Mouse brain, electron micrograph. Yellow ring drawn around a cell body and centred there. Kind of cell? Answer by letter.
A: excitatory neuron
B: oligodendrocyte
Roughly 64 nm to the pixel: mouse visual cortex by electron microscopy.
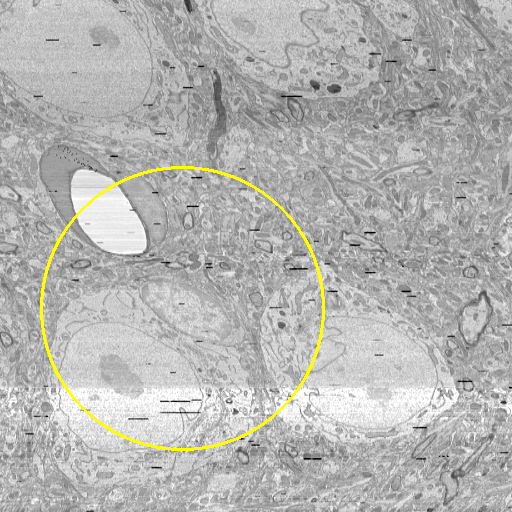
B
